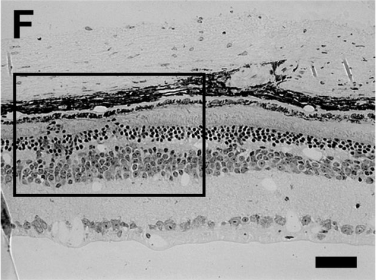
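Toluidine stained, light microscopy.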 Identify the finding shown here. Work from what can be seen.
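The outer layer of small dark nuclei is only a few rows thick. It is thinner than the inner layer of larger, paler nuclei beneath it. So: thinner outer nuclear layers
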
